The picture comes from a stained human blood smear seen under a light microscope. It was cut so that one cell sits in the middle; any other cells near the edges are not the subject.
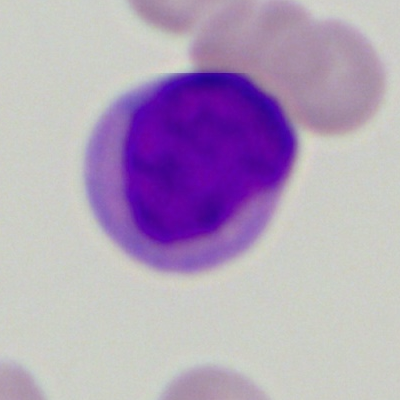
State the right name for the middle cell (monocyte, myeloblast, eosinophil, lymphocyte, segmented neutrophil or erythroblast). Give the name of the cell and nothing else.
myeloblast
